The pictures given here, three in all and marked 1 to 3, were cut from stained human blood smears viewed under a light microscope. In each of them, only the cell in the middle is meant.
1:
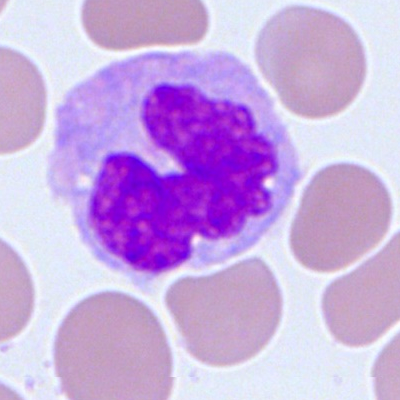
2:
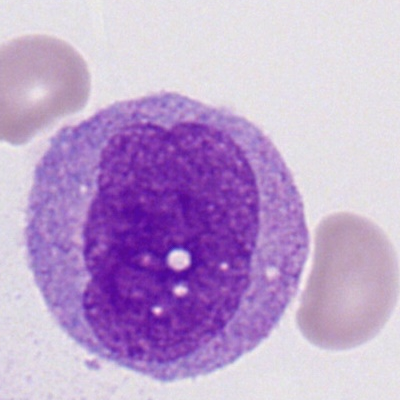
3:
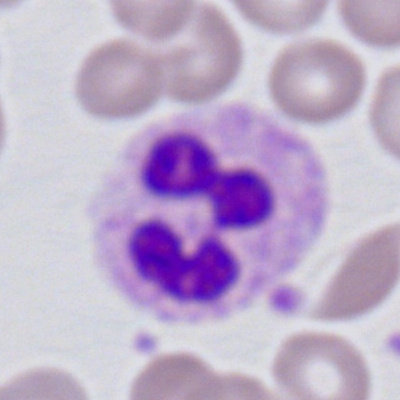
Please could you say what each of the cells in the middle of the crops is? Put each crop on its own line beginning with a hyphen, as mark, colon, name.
- 1: monocyte
- 2: myeloblast
- 3: segmented neutrophil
